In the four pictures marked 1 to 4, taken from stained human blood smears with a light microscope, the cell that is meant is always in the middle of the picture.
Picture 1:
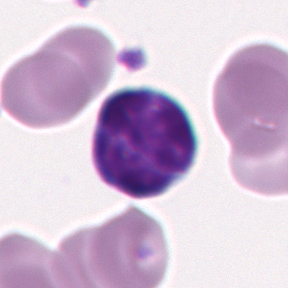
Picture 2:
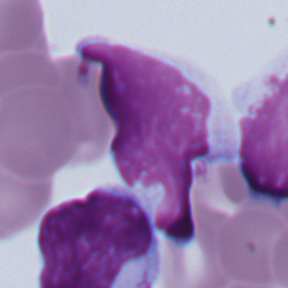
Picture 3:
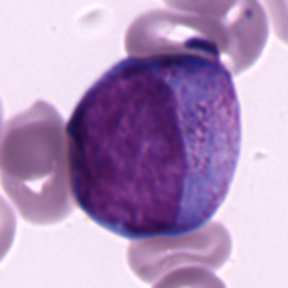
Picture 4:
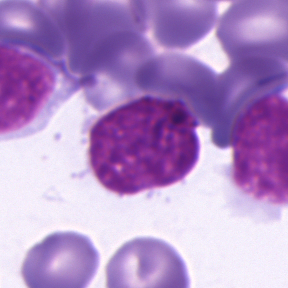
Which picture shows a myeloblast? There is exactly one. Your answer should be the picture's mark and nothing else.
4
